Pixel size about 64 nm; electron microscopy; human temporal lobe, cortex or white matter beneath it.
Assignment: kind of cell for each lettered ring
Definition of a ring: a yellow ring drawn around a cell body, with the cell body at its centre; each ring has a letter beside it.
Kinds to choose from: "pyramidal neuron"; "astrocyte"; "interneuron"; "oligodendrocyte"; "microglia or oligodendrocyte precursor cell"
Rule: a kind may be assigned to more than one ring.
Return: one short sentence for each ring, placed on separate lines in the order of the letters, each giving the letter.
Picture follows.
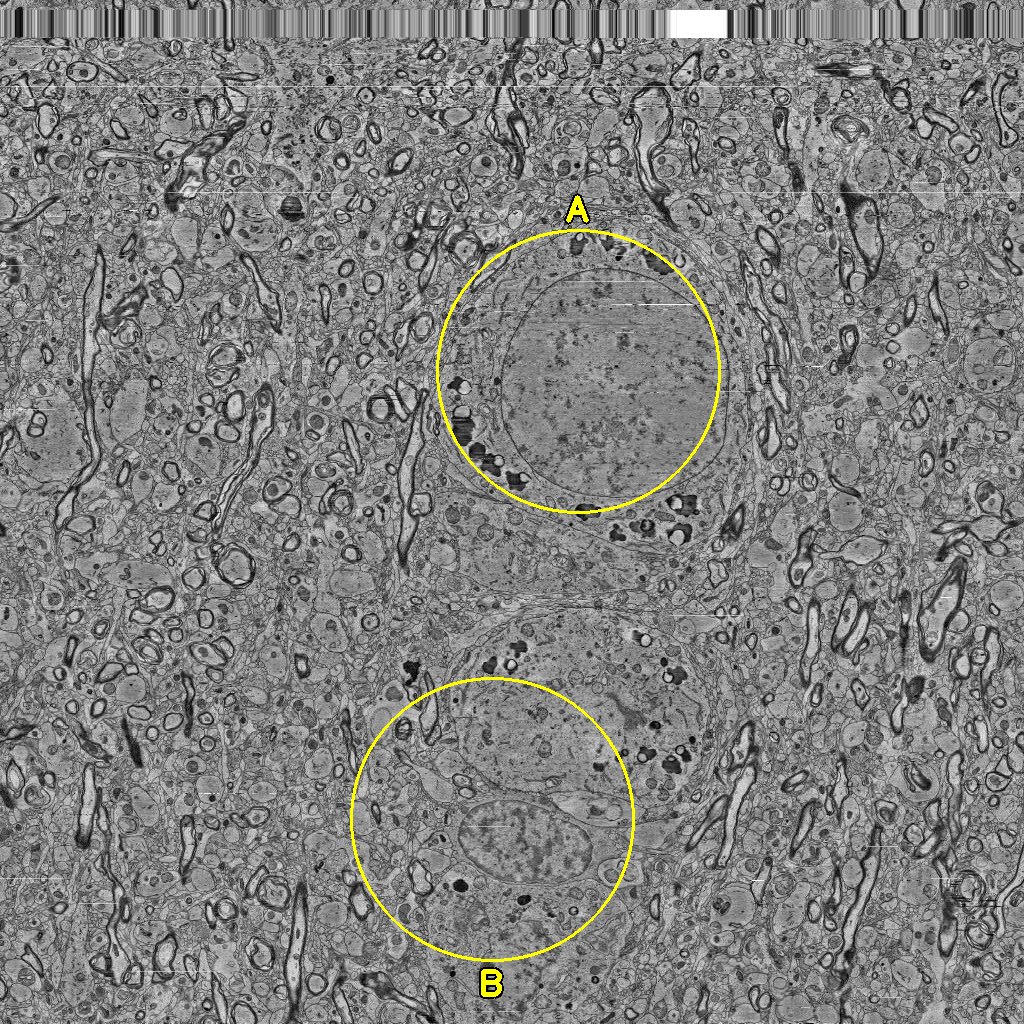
The ring marked A is centred on a pyramidal neuron.
The ring marked B is centred on an oligodendrocyte.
